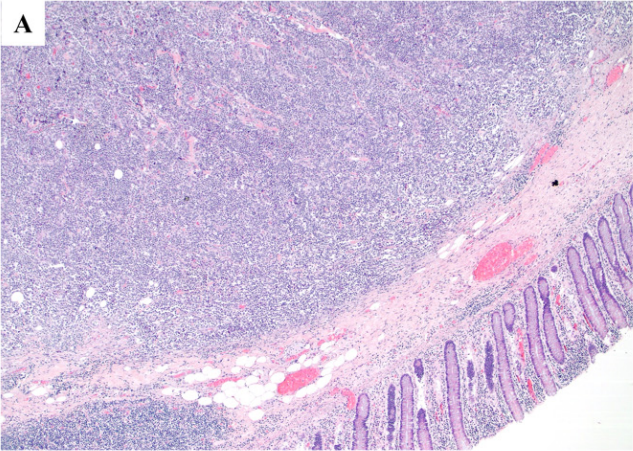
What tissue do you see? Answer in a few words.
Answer: colonic mucosa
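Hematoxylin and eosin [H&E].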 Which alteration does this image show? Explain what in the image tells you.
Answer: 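Most of the panel is a dense, diffuse purple sheet of cells without glands. On this evidence: Sheets of tumor cells.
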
